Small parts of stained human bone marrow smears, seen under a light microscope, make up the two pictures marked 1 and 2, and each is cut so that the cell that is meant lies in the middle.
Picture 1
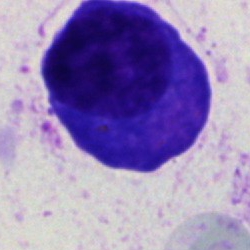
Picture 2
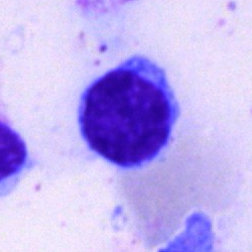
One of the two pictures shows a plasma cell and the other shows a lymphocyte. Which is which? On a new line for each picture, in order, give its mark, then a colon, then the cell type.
1: plasma cell
2: lymphocyte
